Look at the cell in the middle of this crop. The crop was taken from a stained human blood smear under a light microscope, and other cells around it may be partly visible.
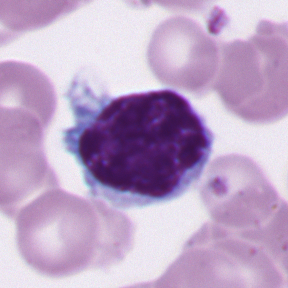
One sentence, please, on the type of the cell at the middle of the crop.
In short, the cell at the center is a typical lymphocyte.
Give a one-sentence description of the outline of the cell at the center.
The margin of this cell is irregular, showing raggedness or projections instead of smoothness.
